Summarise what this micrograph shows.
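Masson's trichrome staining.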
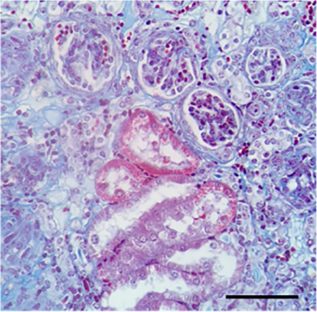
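This is kidney cortex in which glomeruli and tubules are pushed apart by broad bands of blue-staining interstitial tissue. Several glomeruli appear as rounded tufts of purple nuclei inside their capsules. The tubules are lined by epithelium with red-pink cytoplasm, and some have wide, open lumens. Between these structures the interstitial space is widened, filled with blue fibres and crowded with many small, dark nuclei. Compared with normal cortex, where tubules lie close together, here the blue-stained space between them takes up a large part of the field.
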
